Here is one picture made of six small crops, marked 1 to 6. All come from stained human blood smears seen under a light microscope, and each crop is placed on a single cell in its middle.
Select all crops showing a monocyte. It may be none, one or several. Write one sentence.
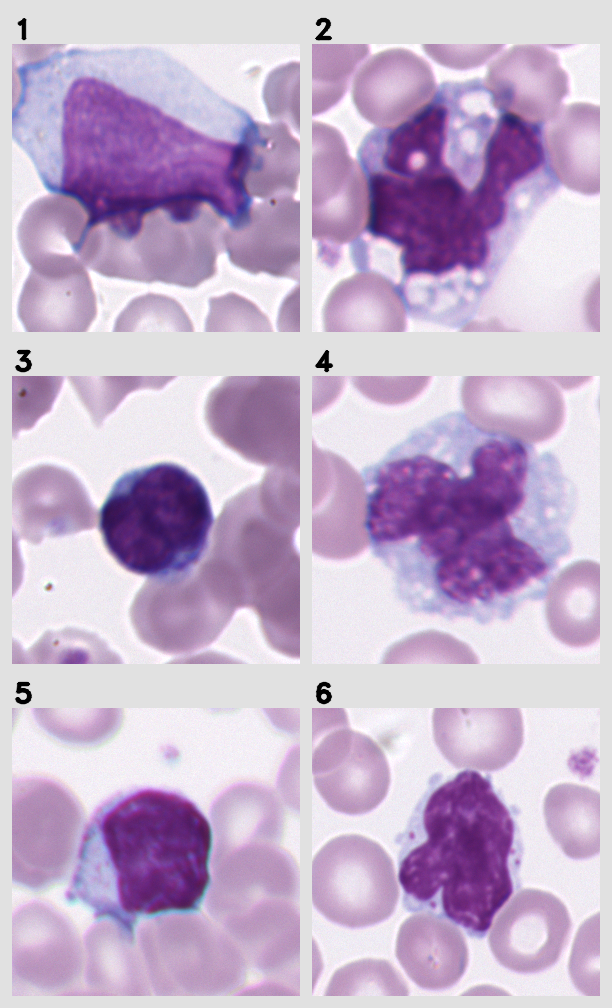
Form entry, crops 2 and 4: central cells are monocytes.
